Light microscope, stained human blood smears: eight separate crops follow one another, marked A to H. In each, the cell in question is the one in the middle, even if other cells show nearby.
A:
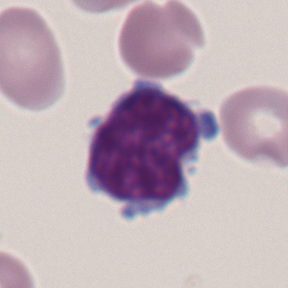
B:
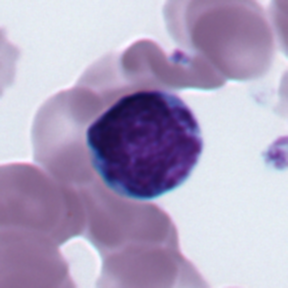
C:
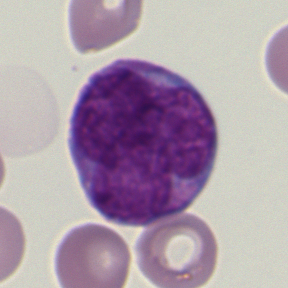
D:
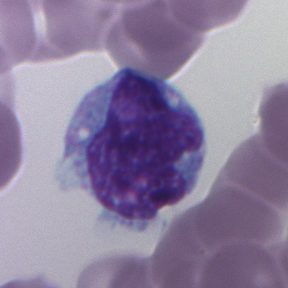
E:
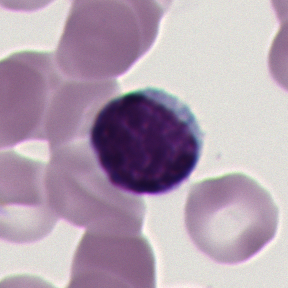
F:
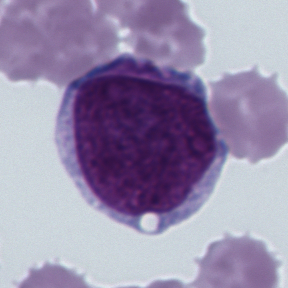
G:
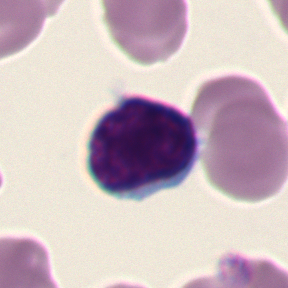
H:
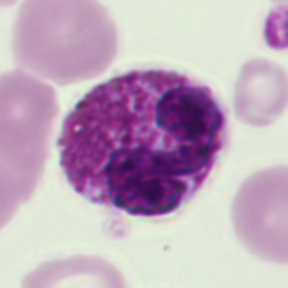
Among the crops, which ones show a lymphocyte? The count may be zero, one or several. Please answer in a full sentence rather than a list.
Shown in the centre of crops A, B, E and G are lymphocytes.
